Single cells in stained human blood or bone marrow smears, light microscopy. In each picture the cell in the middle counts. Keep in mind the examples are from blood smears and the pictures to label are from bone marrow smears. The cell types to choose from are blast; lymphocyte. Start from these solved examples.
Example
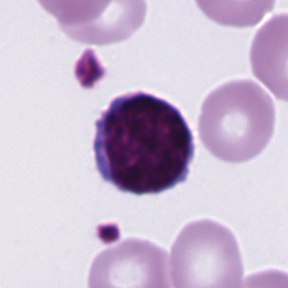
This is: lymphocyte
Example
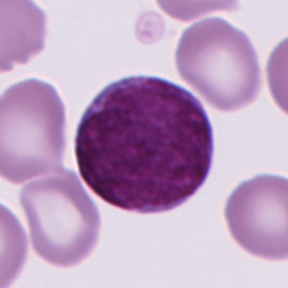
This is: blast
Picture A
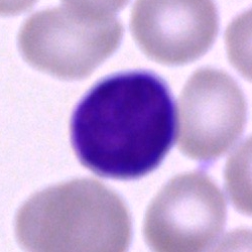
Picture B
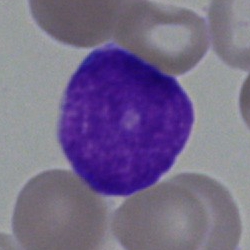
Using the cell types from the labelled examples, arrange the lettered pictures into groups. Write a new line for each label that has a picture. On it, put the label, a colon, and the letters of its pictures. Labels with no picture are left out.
blast: B
lymphocyte: A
